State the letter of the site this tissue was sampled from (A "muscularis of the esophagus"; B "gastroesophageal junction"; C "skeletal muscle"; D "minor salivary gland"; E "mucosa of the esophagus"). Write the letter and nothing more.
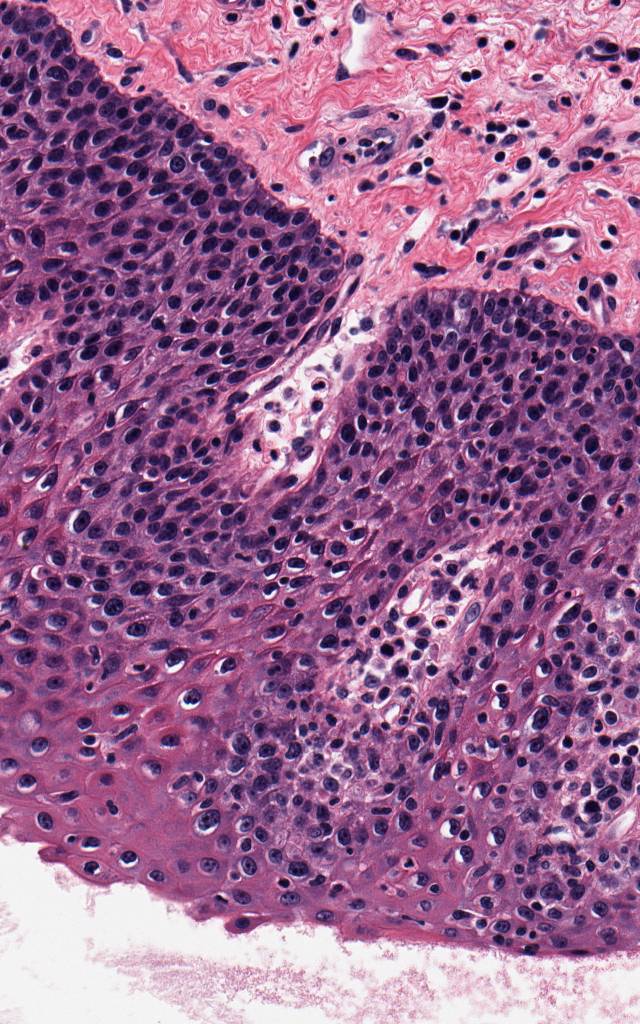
E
